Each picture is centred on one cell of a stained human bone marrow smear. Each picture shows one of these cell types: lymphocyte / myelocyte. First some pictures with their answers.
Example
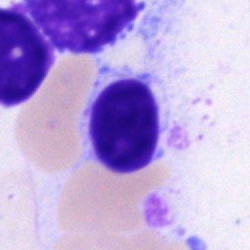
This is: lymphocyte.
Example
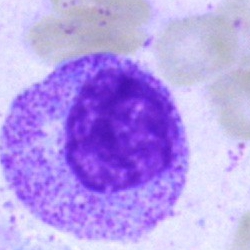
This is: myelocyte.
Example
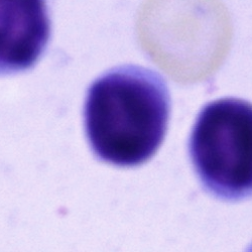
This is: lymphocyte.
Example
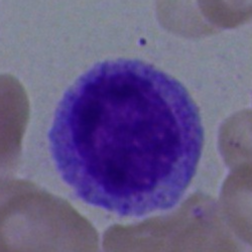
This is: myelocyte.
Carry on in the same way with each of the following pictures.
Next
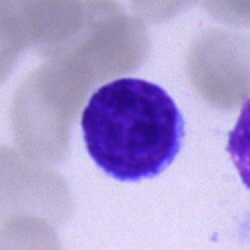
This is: lymphocyte.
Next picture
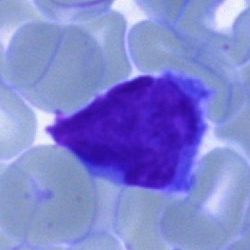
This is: lymphocyte.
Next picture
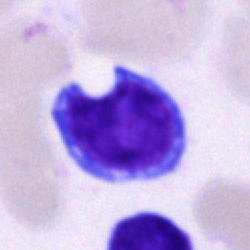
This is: lymphocyte.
